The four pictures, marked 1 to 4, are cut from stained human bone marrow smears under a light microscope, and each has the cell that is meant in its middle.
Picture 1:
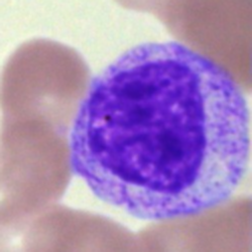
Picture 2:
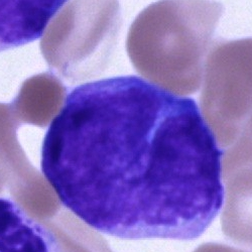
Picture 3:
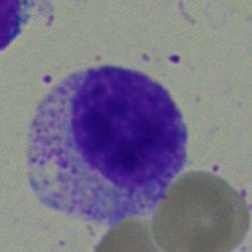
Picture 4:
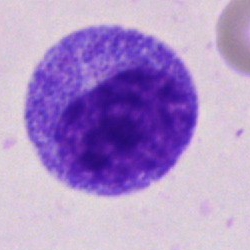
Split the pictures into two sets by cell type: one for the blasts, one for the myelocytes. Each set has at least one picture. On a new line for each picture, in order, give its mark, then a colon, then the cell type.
1: myelocyte
2: blast
3: myelocyte
4: myelocyte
